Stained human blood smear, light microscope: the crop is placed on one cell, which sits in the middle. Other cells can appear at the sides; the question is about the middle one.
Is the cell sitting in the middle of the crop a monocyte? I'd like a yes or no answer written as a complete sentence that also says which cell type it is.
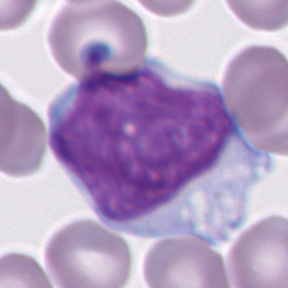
No, the central cell in this crop is a blast and not a monocyte.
